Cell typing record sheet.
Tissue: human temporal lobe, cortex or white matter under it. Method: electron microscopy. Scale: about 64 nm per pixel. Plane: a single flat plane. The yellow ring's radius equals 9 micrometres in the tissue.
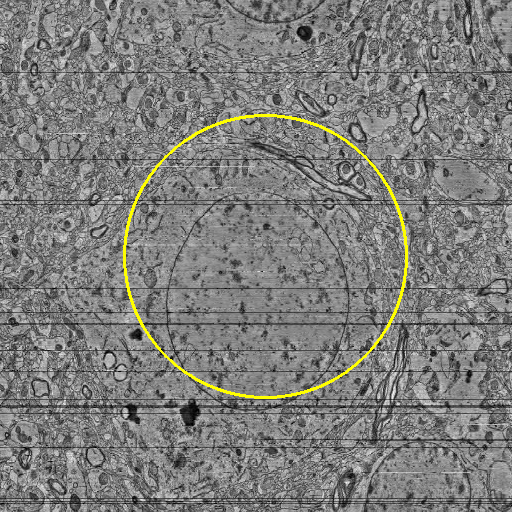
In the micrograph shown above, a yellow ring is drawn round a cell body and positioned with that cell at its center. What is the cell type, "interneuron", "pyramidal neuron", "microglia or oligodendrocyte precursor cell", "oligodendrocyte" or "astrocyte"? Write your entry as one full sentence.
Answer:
The cell body at the center of the ring belongs to a pyramidal neuron.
